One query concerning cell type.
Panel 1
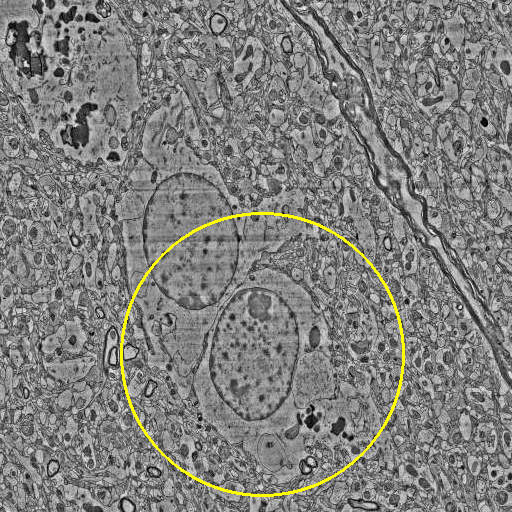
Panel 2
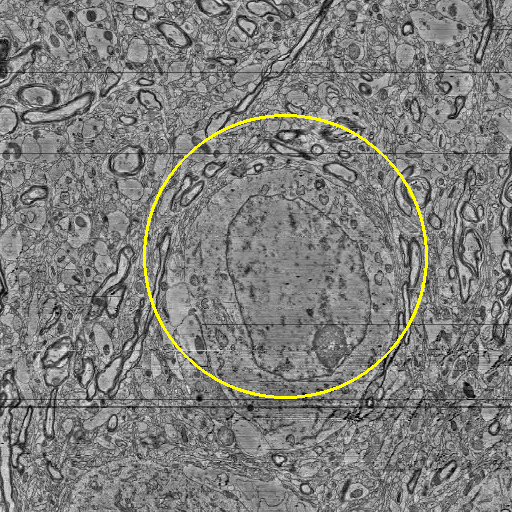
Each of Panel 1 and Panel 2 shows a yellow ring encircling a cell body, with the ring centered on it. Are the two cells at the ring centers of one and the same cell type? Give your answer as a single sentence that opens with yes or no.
No, the cell centered in Panel 1 and the one in Panel 2 are of two types.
